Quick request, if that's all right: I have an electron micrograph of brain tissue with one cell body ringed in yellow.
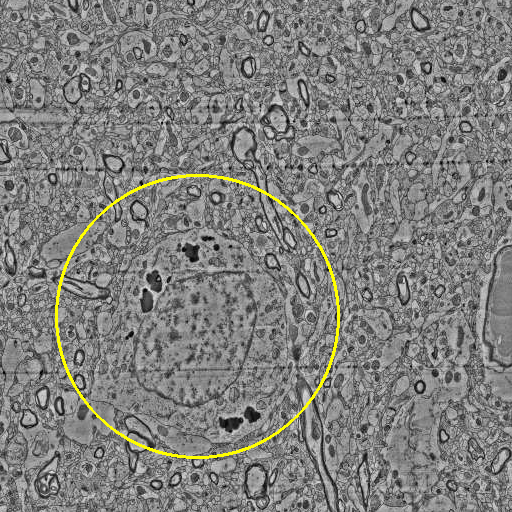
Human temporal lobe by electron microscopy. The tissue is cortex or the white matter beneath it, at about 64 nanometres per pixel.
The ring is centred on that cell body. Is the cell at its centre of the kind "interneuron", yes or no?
yes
